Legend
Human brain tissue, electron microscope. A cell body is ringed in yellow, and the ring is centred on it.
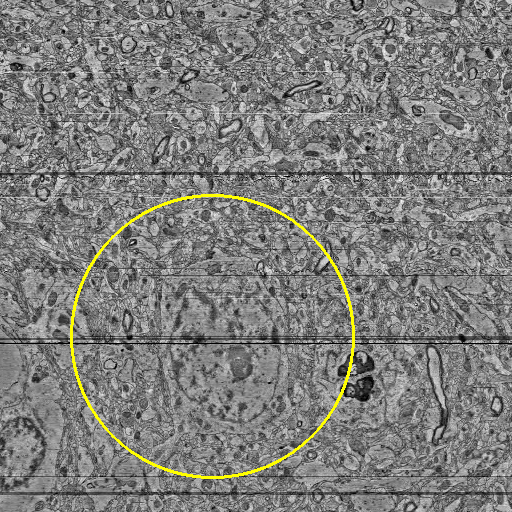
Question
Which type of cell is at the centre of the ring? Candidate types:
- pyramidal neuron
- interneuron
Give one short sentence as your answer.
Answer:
The yellow ring is centred here on an interneuron.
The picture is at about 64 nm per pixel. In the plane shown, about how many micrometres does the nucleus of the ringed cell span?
In this plane the nucleus measures roughly 9 by 7 micrometers.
